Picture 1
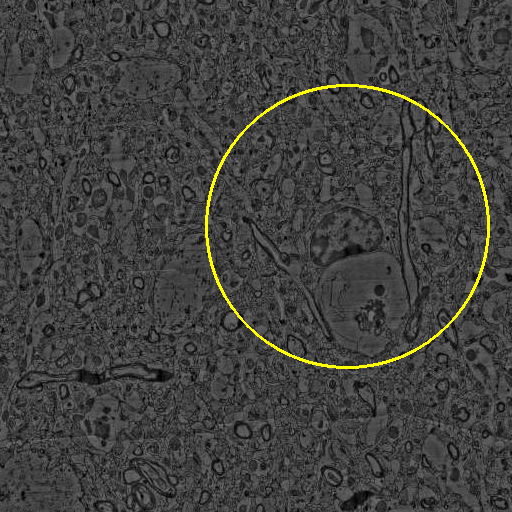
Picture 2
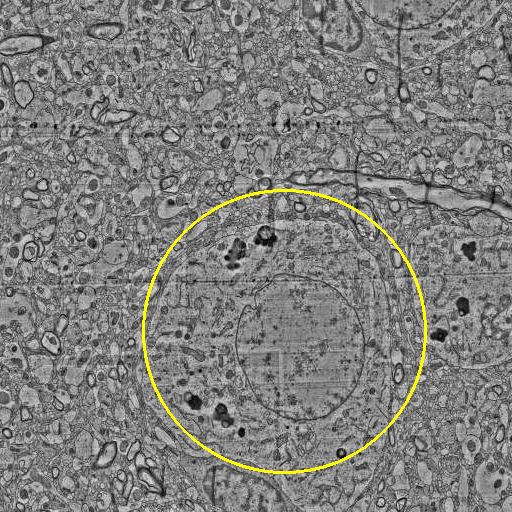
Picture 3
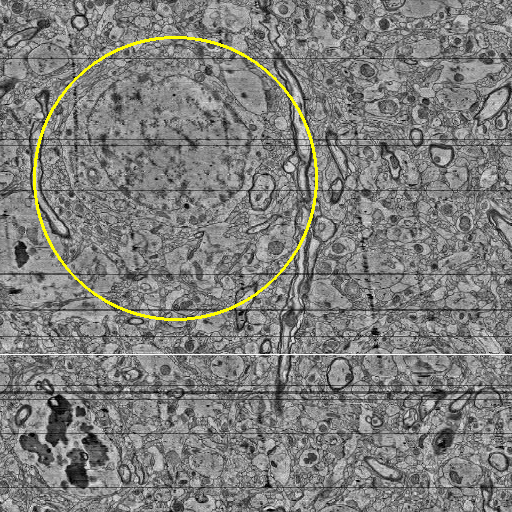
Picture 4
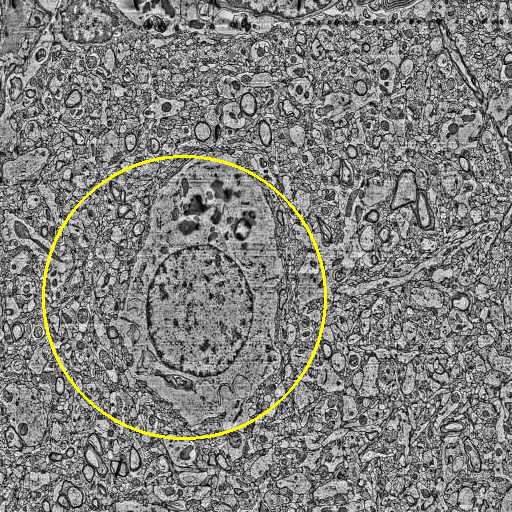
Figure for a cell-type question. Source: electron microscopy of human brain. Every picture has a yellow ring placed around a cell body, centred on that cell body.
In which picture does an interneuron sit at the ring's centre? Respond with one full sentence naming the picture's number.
The cell in the middle of the ring in picture 3 is the one sought.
